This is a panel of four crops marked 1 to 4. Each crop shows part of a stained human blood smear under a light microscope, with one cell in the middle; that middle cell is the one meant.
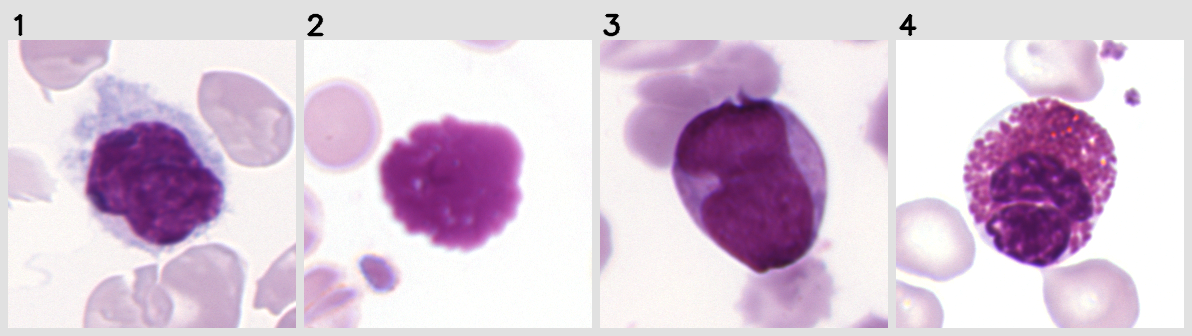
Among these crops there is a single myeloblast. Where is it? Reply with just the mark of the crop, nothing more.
3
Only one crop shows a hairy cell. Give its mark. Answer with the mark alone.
1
